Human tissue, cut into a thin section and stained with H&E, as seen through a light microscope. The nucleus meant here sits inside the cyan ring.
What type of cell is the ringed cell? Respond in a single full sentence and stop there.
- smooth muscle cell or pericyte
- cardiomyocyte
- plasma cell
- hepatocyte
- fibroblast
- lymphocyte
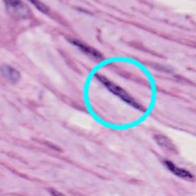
Just put down that the ringed cell is a fibroblast.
